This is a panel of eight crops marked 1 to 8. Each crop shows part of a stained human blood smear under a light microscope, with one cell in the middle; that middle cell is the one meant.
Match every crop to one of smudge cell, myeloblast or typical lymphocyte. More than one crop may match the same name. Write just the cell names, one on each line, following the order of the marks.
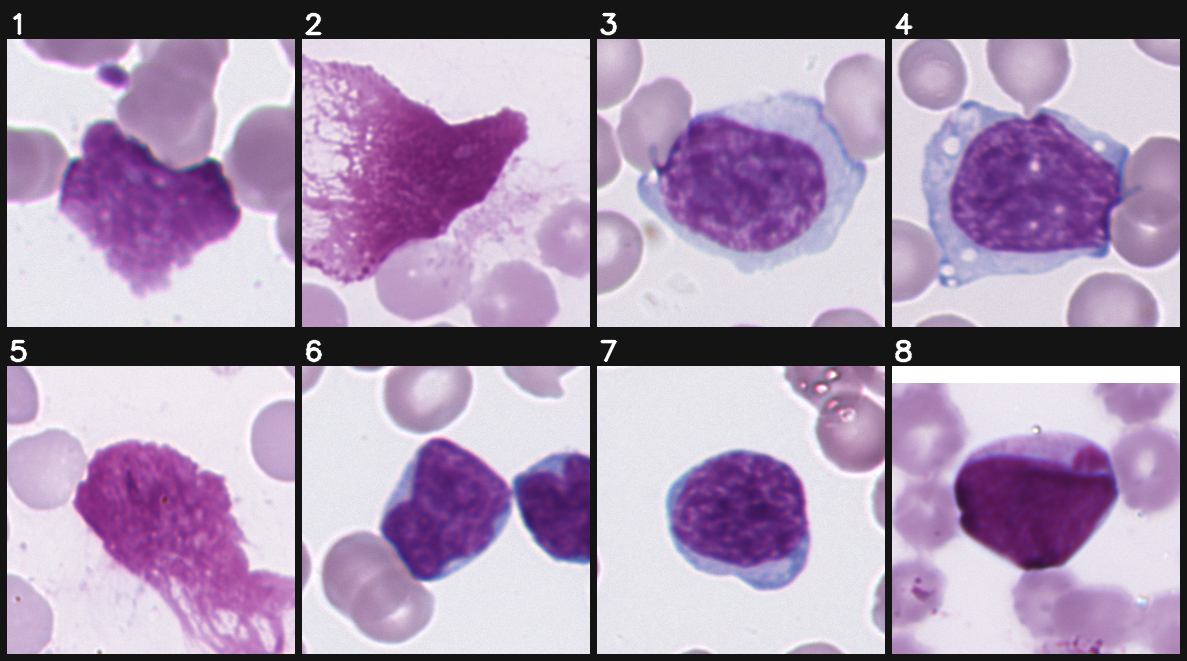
smudge cell
smudge cell
myeloblast
myeloblast
smudge cell
myeloblast
myeloblast
myeloblast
